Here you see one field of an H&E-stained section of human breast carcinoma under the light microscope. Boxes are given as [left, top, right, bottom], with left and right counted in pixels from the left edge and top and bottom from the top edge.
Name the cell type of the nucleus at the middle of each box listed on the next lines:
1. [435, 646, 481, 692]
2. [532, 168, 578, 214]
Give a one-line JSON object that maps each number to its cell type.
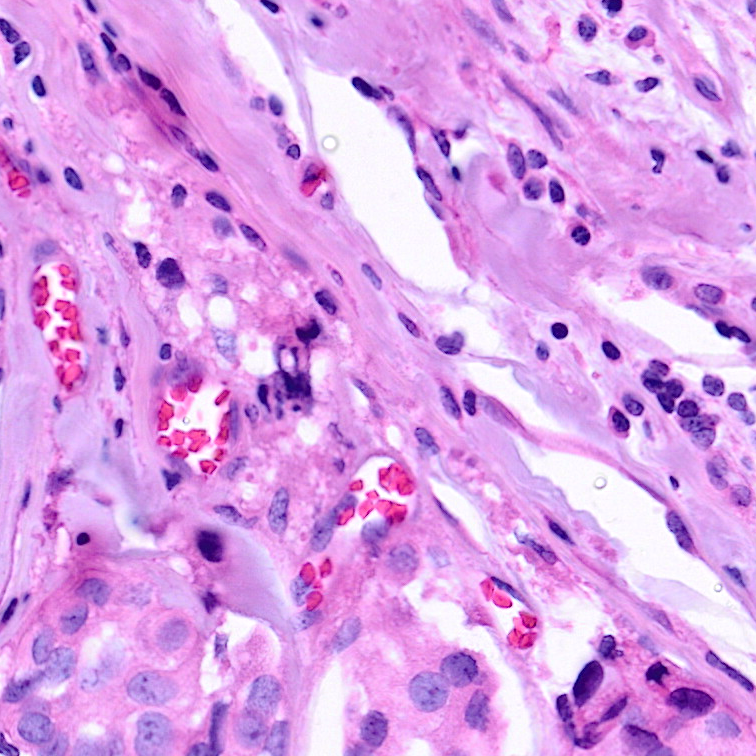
{"1": "carcinoma cell", "2": "lymphocyte"}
